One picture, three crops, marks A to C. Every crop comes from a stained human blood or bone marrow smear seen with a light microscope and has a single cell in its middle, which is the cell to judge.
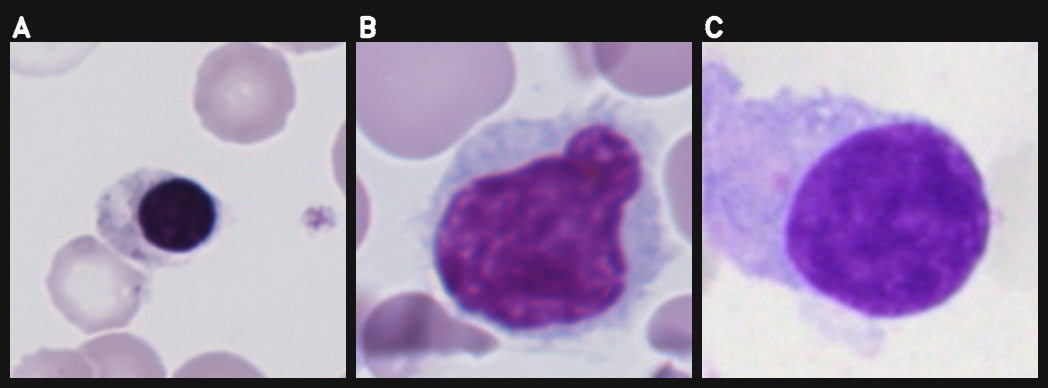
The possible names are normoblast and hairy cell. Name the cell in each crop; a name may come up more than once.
A: normoblast
B: hairy cell
C: hairy cell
